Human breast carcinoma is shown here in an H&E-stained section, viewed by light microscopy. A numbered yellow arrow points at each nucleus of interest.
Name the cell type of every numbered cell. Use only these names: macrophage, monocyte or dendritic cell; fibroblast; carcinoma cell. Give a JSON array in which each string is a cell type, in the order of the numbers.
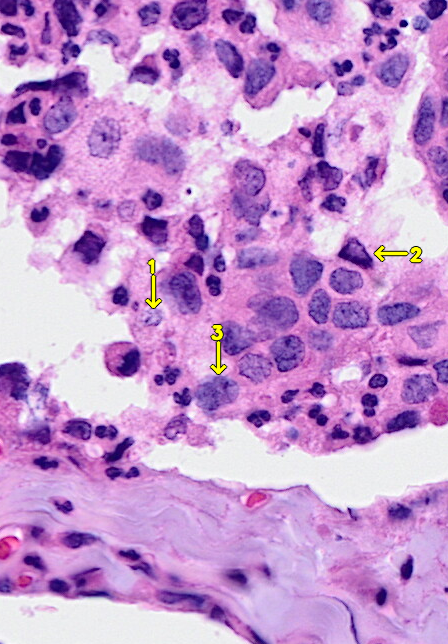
["macrophage, monocyte or dendritic cell", "carcinoma cell", "carcinoma cell"]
